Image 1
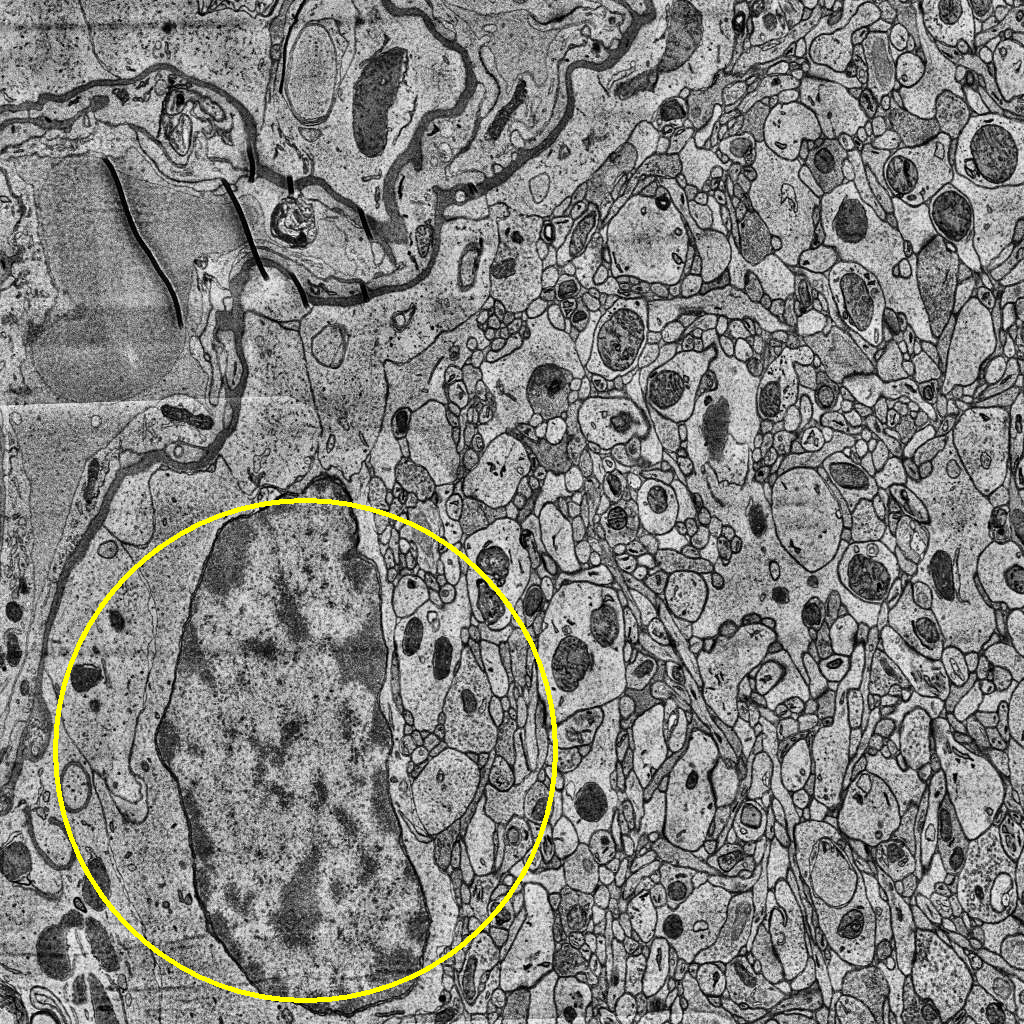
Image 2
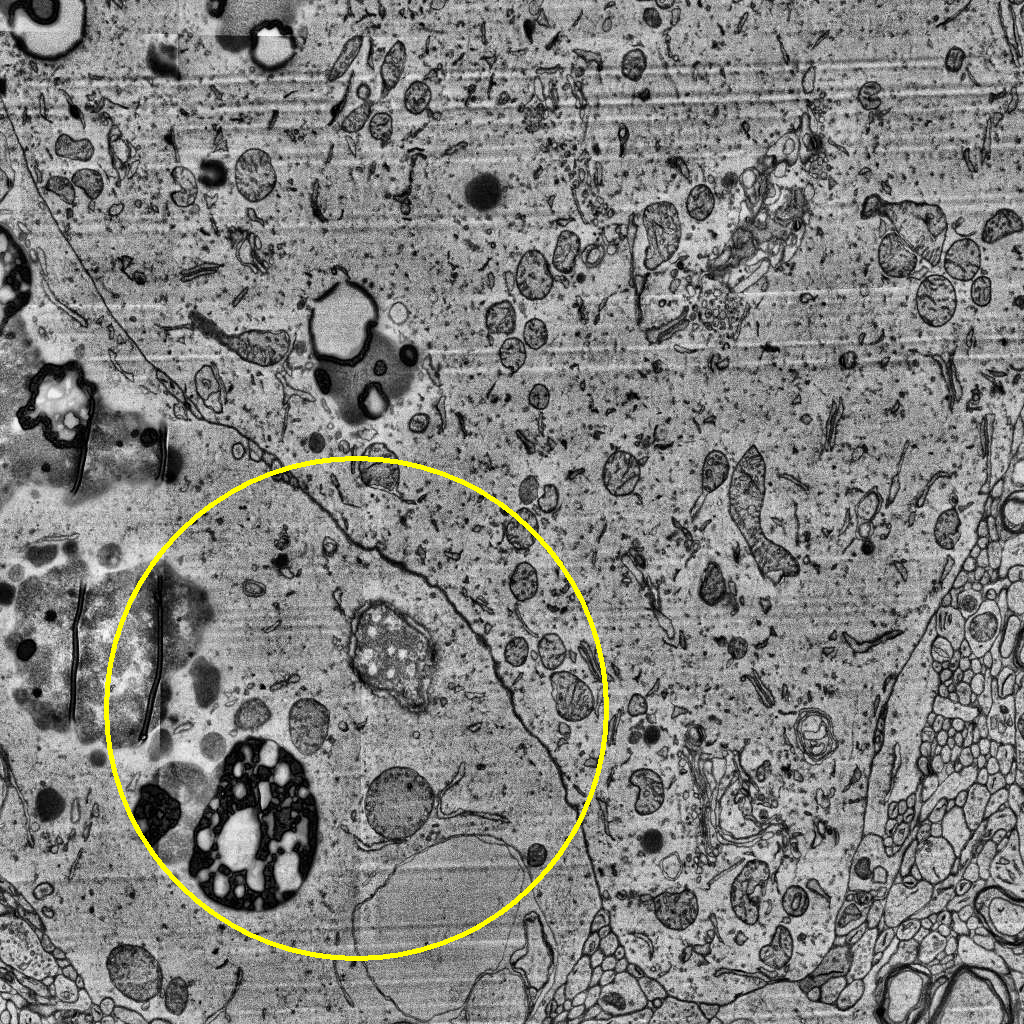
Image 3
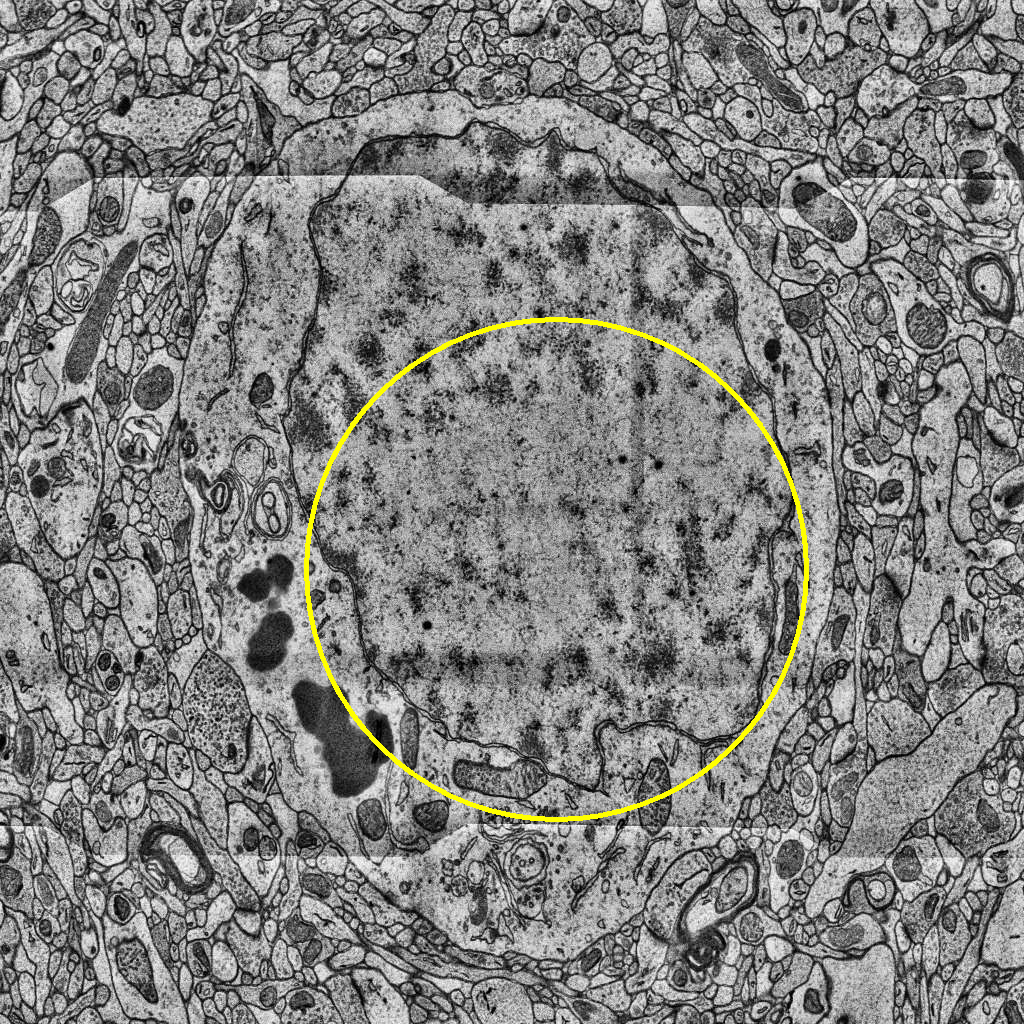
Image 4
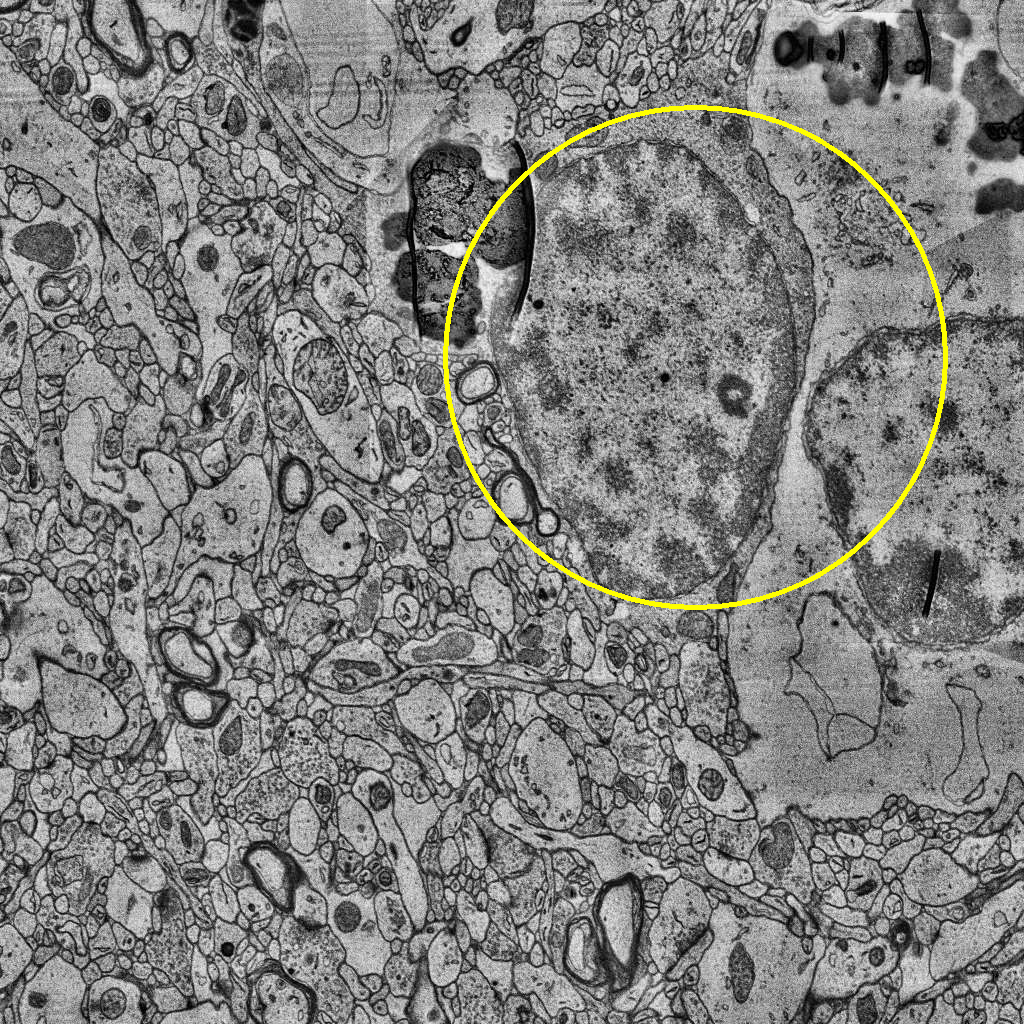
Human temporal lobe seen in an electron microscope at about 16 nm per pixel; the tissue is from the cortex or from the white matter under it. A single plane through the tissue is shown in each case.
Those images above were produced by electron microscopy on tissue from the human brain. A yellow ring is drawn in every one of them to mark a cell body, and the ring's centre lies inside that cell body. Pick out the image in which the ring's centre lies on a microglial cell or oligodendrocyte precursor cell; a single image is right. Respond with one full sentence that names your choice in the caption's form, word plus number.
Image 1 is my choice: the centre of its ring lies inside the requested cell.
